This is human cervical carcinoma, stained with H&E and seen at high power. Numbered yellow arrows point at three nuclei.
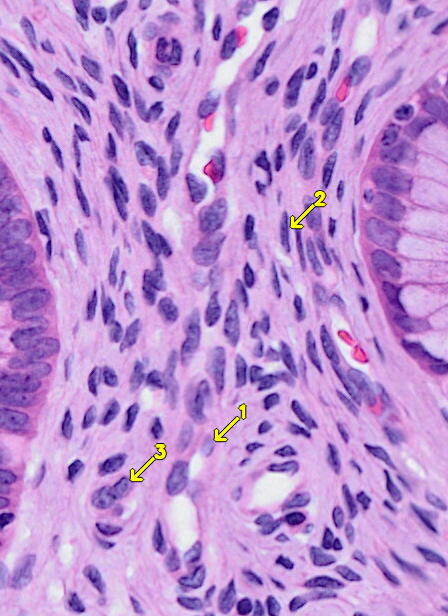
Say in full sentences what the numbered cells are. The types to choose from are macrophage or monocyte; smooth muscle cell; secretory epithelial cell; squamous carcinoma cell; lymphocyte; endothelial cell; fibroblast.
Cells 1 and 3 are endothelial cells. Cell 2 is a fibroblast.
